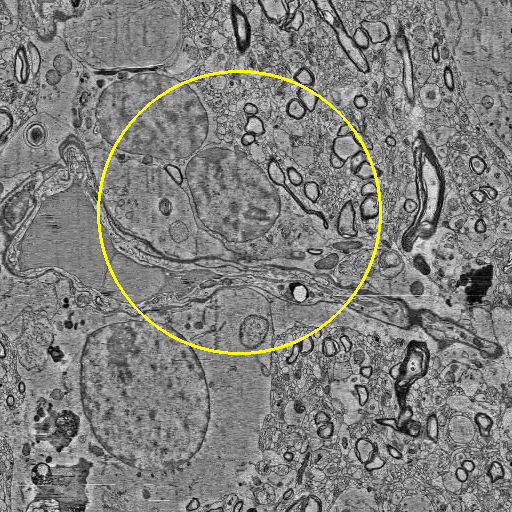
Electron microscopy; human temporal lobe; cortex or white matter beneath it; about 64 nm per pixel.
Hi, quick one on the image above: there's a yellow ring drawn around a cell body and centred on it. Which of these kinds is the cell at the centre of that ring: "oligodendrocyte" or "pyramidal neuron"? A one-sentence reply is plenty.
The cell at the centre of the ring is an oligodendrocyte.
